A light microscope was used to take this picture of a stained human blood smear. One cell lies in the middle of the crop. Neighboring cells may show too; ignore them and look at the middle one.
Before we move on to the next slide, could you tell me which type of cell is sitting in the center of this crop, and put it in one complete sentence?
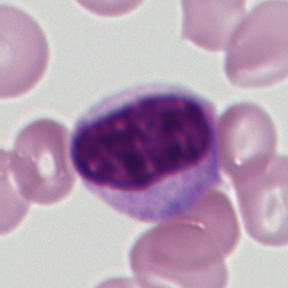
What sits at the centre of this crop is a metamyelocyte.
